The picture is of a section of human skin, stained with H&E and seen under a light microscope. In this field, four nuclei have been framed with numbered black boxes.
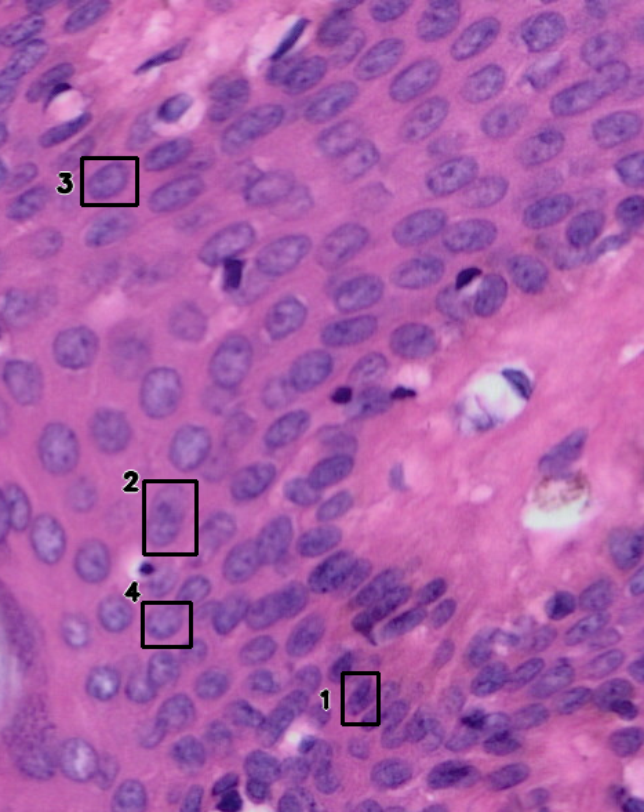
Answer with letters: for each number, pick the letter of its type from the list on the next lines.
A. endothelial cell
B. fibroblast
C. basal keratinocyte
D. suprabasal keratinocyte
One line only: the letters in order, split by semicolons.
C; D; D; D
